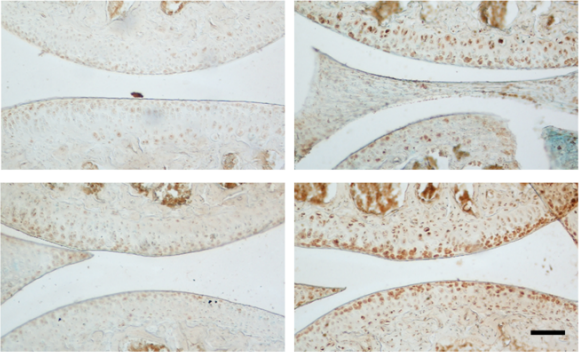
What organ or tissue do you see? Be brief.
Joint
